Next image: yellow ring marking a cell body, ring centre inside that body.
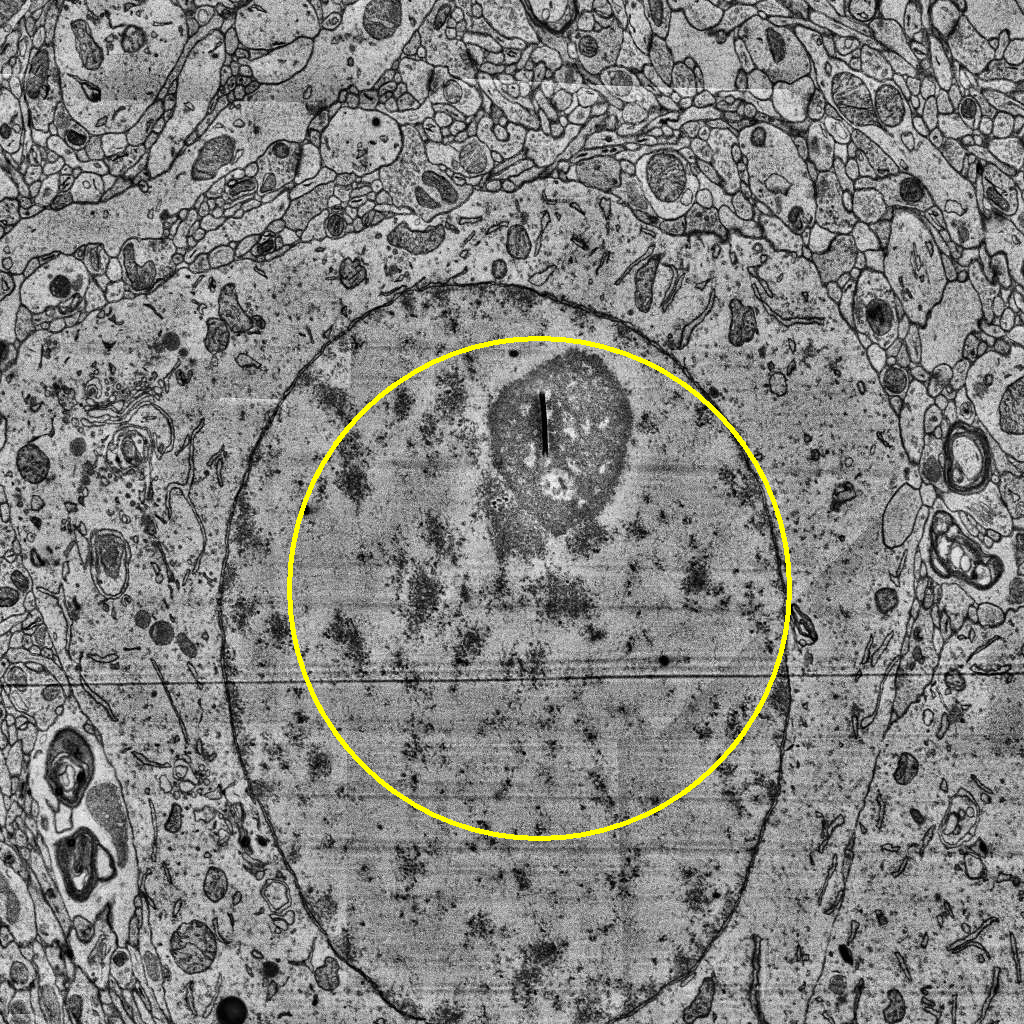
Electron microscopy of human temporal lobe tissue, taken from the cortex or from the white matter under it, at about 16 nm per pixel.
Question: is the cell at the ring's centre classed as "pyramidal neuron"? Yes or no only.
yes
